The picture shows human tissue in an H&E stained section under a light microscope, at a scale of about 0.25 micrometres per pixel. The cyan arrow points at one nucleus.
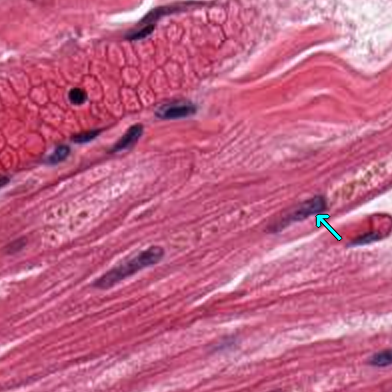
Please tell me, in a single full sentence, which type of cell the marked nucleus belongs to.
The mark identifies the nucleus of a cardiomyocyte.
